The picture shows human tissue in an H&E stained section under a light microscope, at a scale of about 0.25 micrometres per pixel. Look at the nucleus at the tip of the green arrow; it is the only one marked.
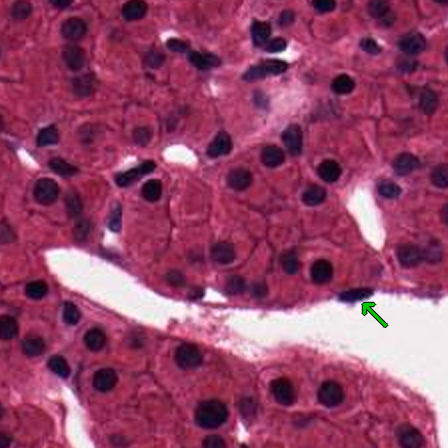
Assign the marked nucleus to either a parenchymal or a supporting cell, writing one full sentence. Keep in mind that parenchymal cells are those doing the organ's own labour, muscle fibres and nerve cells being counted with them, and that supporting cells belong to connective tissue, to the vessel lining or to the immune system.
It is in a supporting cell that the marked nucleus lies.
